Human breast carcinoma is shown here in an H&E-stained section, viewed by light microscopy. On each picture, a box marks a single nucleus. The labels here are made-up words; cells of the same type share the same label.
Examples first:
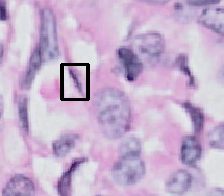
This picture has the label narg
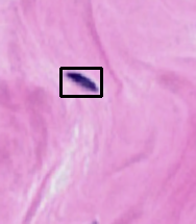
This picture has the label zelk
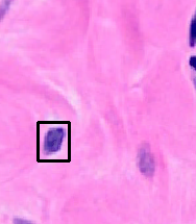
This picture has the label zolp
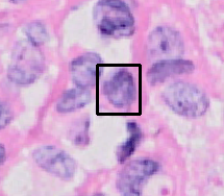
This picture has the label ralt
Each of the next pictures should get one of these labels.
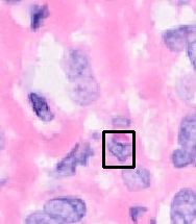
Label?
narg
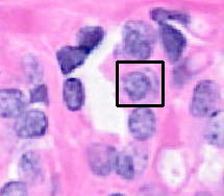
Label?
ralt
